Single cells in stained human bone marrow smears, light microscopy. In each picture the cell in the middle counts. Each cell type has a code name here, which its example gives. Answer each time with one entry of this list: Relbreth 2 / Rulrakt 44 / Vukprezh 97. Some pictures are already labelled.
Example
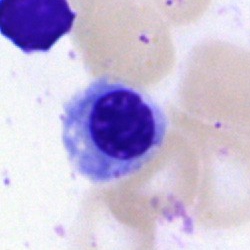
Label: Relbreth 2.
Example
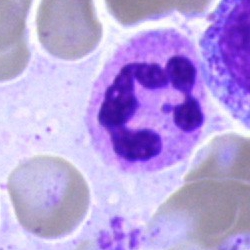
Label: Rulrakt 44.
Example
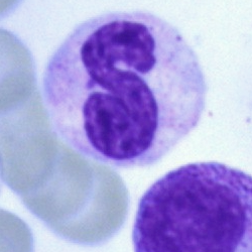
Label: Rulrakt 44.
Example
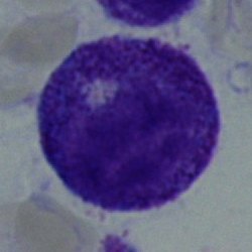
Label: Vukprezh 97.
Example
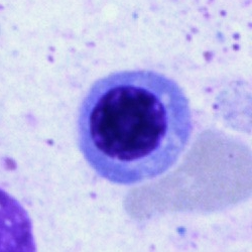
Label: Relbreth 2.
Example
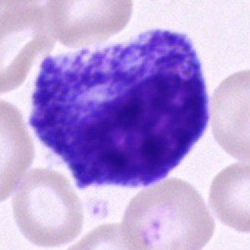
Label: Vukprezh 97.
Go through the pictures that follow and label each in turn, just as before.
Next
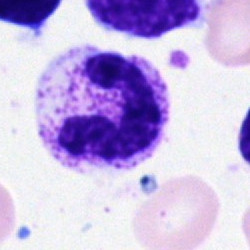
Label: Rulrakt 44.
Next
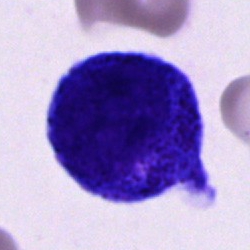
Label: Vukprezh 97.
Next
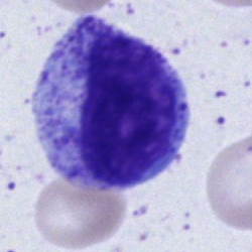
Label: Vukprezh 97.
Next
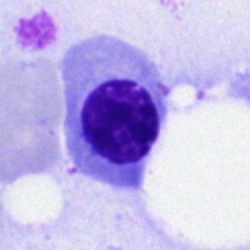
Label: Relbreth 2.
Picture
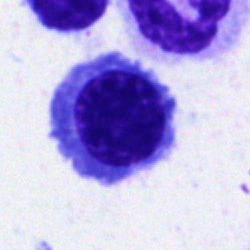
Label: Relbreth 2.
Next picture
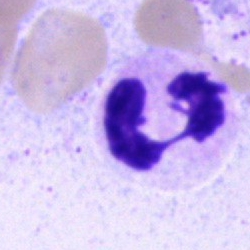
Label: Rulrakt 44.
